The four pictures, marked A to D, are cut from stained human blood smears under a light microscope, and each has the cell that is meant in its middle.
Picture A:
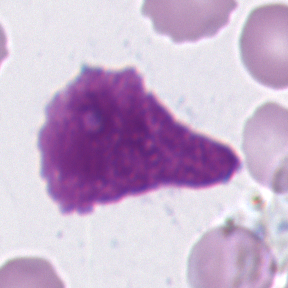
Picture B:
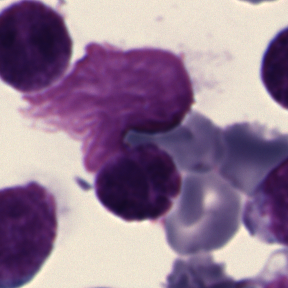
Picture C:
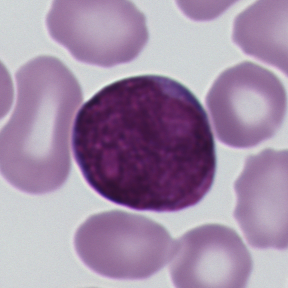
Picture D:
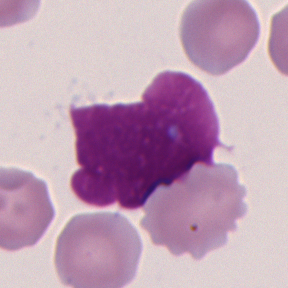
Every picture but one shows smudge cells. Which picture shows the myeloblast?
C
